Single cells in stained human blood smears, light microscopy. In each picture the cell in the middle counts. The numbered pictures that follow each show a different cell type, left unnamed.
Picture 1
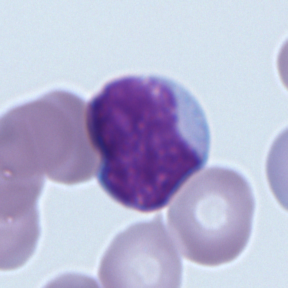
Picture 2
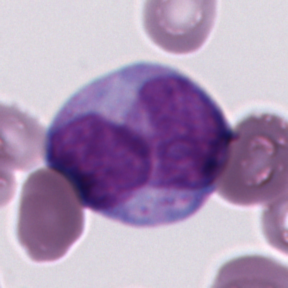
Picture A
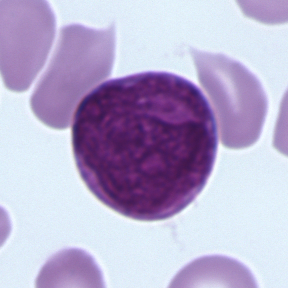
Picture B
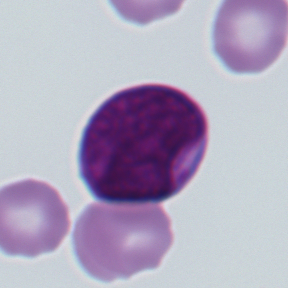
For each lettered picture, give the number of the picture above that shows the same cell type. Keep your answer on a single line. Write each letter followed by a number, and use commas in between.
A 1, B 1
